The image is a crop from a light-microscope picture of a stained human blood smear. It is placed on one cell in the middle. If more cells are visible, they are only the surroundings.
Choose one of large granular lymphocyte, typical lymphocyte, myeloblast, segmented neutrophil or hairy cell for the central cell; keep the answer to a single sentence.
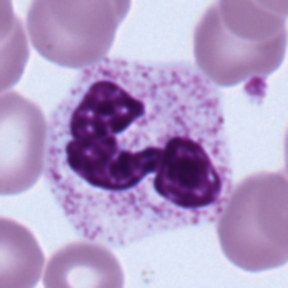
The cell sitting right in the middle is a segmented neutrophil.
